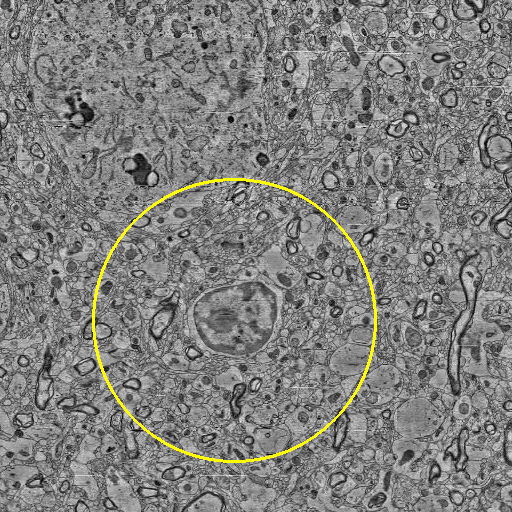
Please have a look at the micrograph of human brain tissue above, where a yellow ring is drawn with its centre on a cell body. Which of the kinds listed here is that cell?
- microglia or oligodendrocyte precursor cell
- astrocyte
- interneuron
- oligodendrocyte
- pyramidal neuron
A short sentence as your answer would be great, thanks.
At the centre of the ring sits a microglial cell or oligodendrocyte precursor cell.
